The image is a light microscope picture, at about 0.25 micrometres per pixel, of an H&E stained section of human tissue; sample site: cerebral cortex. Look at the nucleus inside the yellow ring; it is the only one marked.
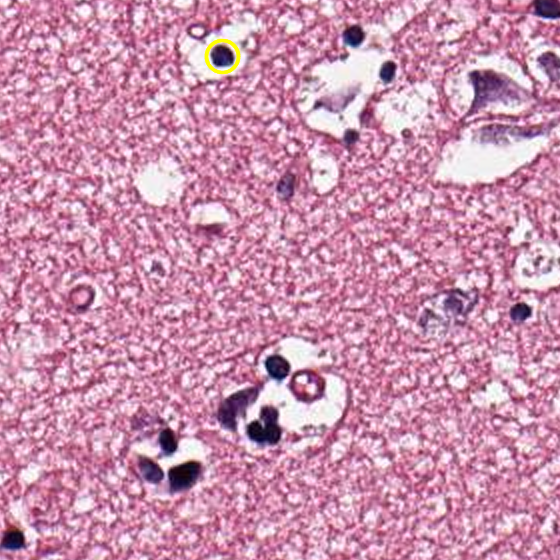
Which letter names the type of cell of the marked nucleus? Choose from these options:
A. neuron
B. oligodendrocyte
B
